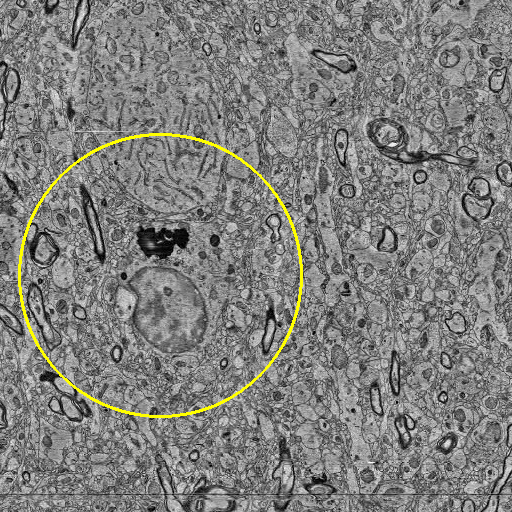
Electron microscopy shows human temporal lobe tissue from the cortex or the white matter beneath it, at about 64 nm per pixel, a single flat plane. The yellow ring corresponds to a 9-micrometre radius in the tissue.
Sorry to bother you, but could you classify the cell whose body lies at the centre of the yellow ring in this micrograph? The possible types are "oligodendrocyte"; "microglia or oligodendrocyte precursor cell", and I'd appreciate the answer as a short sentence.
The ringed cell body is that of an oligodendrocyte.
